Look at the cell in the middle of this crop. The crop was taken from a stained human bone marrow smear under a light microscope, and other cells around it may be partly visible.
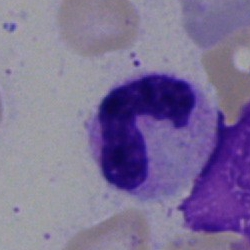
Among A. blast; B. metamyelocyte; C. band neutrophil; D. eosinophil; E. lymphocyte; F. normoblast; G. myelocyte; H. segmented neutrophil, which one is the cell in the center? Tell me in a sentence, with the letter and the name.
The cell in the middle is correctly identified as a segmented neutrophil in option H.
